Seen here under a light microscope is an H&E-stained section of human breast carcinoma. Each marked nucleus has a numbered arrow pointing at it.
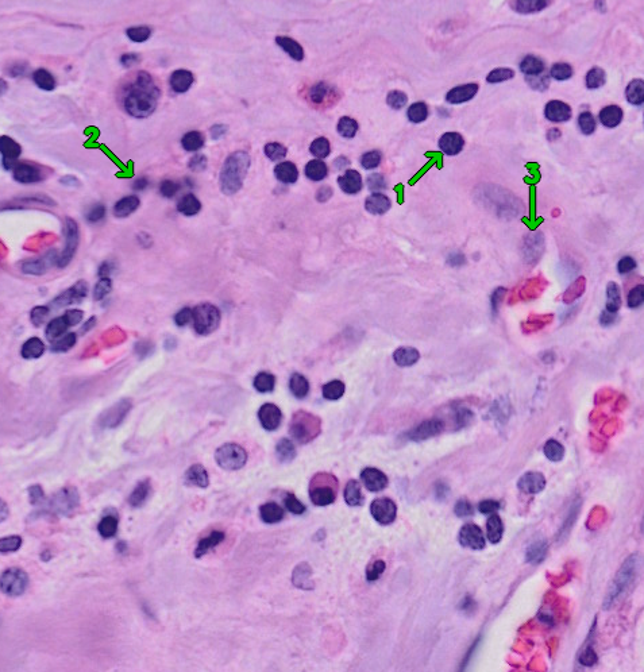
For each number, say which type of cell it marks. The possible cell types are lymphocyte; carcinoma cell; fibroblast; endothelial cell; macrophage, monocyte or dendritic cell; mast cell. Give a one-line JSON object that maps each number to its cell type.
{"1": "lymphocyte", "2": "lymphocyte", "3": "endothelial cell"}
